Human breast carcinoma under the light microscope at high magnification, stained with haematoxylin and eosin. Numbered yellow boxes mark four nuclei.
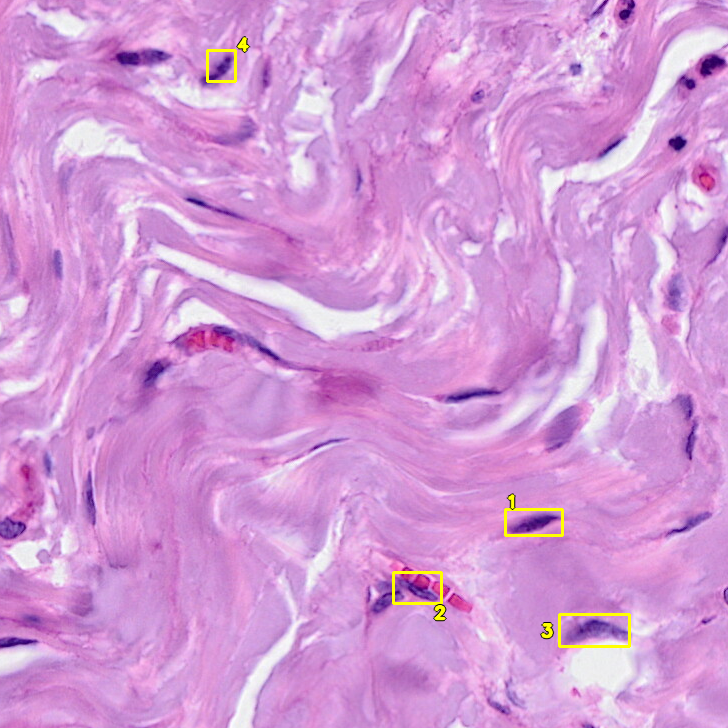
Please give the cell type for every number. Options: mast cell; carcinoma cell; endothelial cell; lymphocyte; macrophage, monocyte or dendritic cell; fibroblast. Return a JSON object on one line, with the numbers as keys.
{"1": "fibroblast", "2": "endothelial cell", "3": "fibroblast", "4": "fibroblast"}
